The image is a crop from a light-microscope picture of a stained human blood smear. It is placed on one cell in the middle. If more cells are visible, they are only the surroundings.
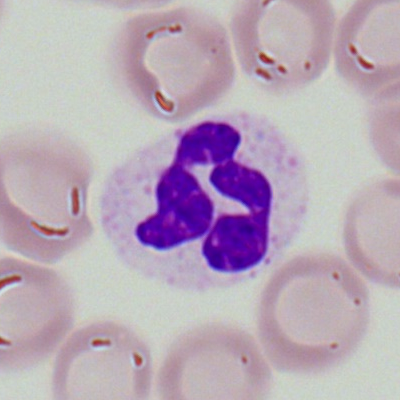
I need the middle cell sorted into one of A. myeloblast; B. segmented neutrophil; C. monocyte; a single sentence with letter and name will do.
Option B is correct here, and the cell in the middle is a segmented neutrophil.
